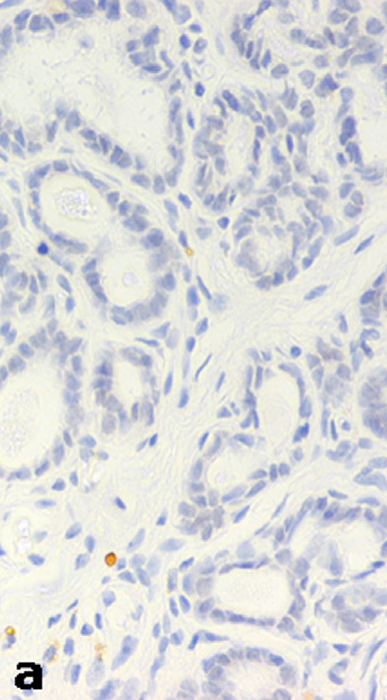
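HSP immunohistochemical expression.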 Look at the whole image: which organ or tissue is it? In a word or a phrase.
Mammary gland tissue.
